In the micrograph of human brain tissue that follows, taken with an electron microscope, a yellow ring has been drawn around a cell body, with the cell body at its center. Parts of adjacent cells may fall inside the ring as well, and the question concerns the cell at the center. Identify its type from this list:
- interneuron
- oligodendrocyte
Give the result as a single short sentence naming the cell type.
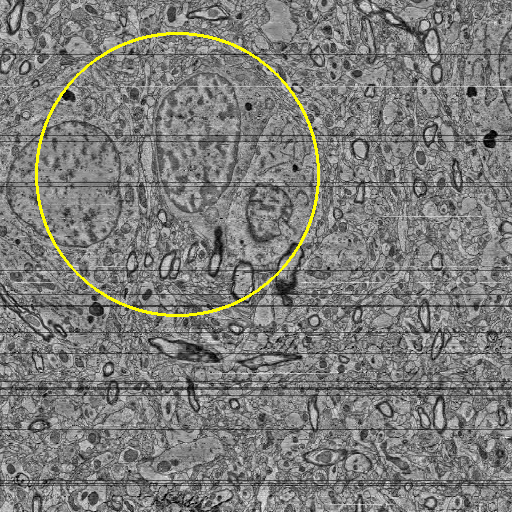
The ring is centered on an oligodendrocyte.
